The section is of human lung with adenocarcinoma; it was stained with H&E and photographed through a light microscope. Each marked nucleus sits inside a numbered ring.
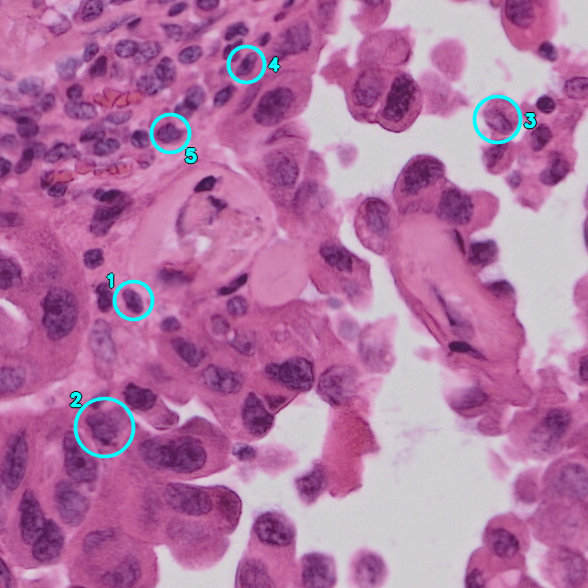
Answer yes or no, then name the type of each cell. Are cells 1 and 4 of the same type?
Yes, cell 1 is counted among the lymphocytes, as is cell 4.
